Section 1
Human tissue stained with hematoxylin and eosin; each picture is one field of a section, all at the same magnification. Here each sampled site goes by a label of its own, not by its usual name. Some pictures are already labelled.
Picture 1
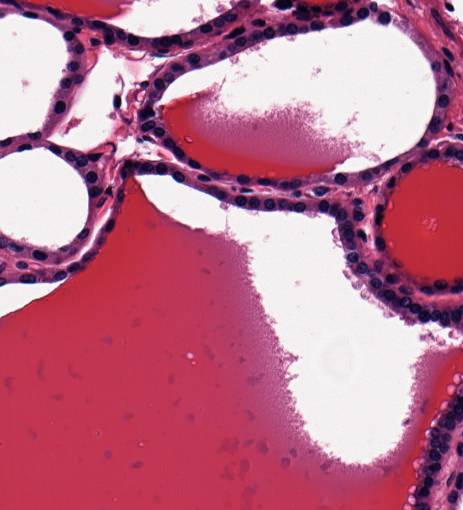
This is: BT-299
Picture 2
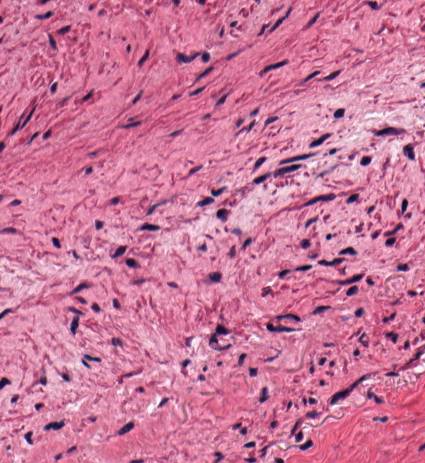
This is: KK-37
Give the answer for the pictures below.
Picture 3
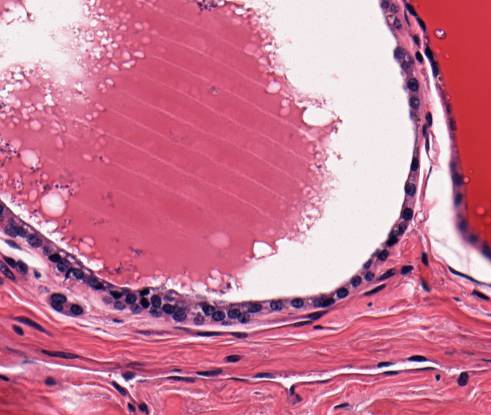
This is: BT-299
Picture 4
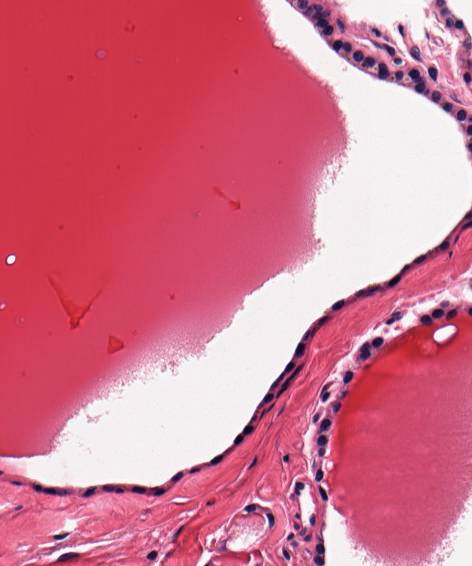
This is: BT-299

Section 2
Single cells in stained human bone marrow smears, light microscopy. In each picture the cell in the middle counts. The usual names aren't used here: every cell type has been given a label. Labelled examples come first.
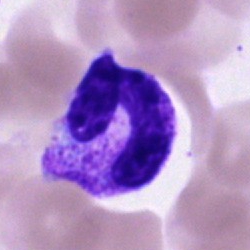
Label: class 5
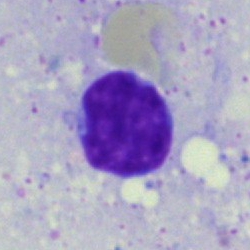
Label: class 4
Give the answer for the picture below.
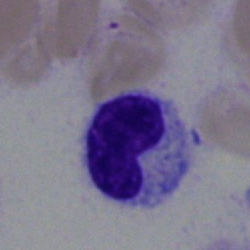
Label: class 5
